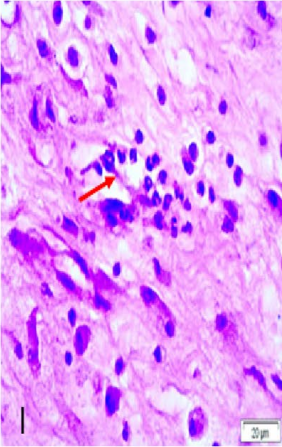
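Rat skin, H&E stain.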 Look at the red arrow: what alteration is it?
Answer: Infiltration of the dermis with inflammatory cells.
